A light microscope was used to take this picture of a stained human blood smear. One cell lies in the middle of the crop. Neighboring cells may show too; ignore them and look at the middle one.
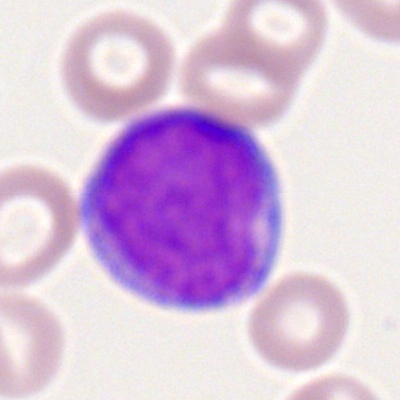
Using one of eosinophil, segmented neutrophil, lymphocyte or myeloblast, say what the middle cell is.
myeloblast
